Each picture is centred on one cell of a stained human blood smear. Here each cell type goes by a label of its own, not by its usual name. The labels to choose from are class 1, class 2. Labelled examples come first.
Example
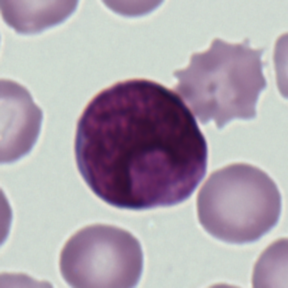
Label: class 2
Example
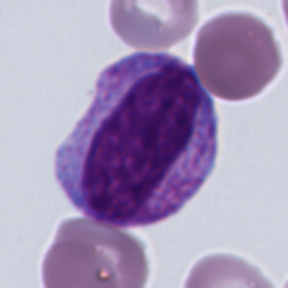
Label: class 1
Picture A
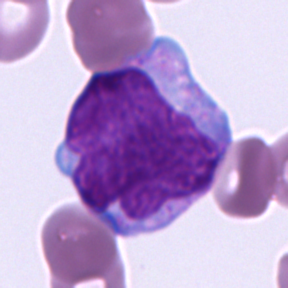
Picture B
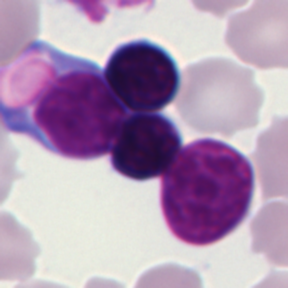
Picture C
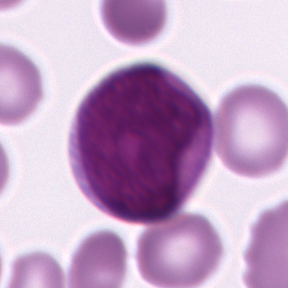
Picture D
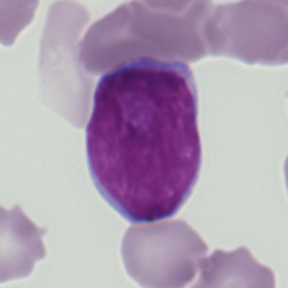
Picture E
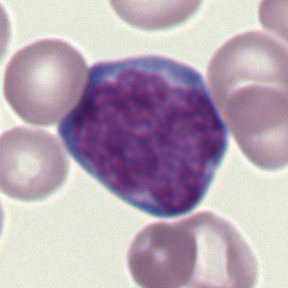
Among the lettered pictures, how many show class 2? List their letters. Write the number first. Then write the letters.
Count: 4 (B, C, D, E)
